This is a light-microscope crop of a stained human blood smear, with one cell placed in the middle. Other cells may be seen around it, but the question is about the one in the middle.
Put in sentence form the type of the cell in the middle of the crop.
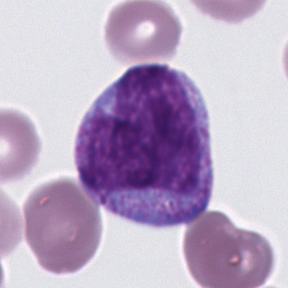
For this crop, the central cell is an atypical promyelocyte.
